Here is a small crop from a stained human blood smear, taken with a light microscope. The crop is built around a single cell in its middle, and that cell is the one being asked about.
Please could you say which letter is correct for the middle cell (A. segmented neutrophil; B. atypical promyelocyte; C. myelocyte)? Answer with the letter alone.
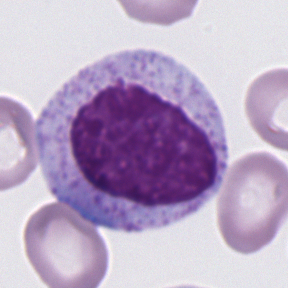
C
